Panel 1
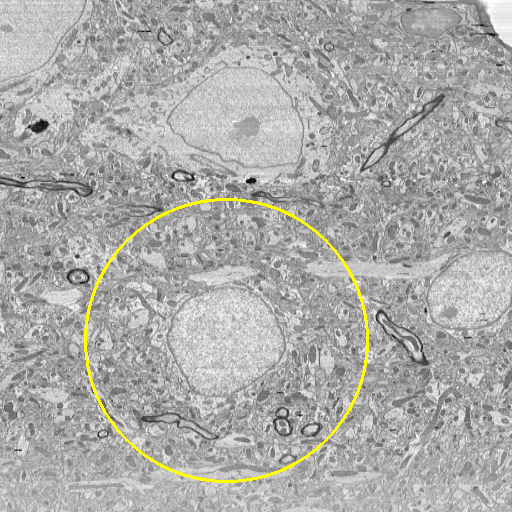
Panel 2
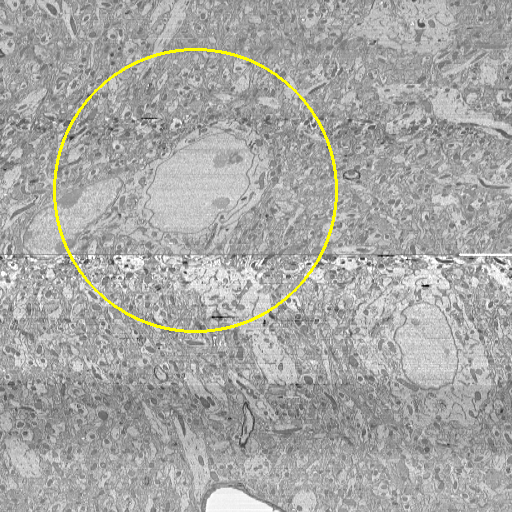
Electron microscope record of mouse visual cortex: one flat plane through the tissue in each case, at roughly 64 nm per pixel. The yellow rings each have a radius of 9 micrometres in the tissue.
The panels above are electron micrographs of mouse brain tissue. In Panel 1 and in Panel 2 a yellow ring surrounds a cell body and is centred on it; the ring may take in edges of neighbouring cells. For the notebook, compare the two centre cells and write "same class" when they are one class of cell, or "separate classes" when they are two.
separate classes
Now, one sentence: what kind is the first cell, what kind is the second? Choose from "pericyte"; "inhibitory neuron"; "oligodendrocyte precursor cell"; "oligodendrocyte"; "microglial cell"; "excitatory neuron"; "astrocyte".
The first picture has an astrocyte at its ring centre, and the second has an excitatory neuron.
